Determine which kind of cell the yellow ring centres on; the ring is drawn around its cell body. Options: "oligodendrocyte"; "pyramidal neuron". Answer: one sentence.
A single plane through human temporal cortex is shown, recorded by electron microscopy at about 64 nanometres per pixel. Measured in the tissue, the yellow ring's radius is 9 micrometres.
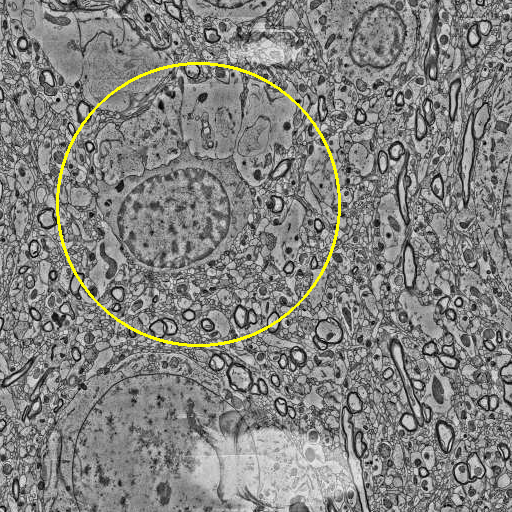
The ring centres on an oligodendrocyte.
